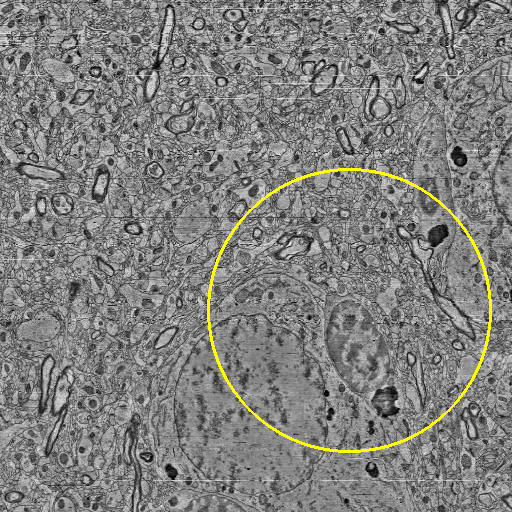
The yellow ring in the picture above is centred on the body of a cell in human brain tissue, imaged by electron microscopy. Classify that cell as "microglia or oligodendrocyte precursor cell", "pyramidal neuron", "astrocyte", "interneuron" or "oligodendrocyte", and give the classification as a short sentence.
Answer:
The cell in the middle of the ring is an oligodendrocyte.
